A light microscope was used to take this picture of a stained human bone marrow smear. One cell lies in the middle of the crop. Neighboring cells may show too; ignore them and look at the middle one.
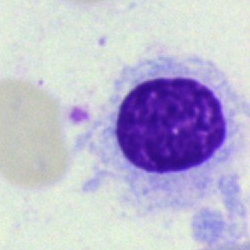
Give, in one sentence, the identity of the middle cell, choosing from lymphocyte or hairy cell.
At the center of the crop sits a hairy cell.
